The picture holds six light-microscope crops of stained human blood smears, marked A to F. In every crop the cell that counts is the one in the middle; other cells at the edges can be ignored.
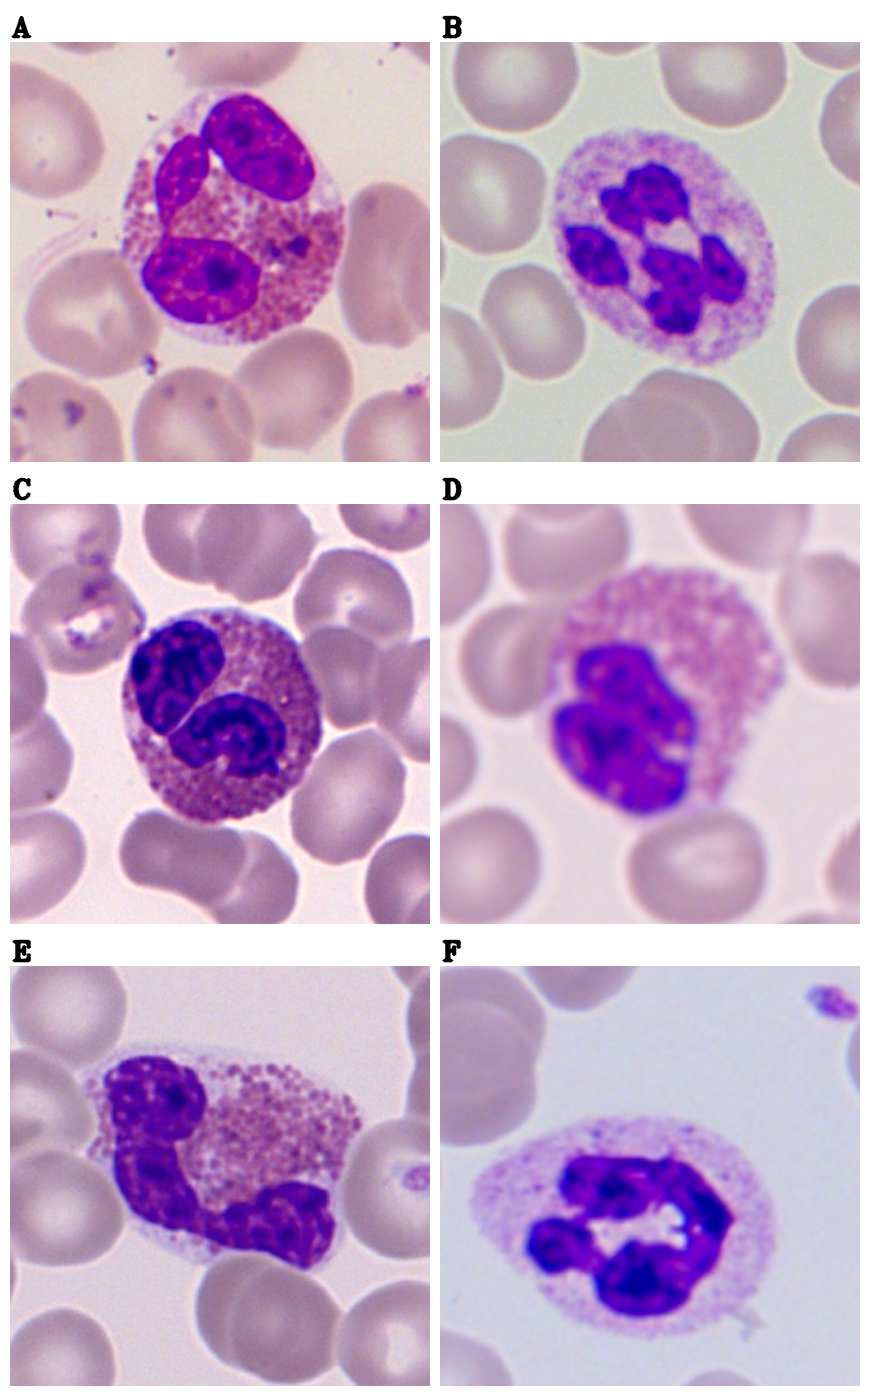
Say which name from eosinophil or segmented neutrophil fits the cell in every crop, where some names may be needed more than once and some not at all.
A: eosinophil
B: segmented neutrophil
C: eosinophil
D: eosinophil
E: eosinophil
F: segmented neutrophil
